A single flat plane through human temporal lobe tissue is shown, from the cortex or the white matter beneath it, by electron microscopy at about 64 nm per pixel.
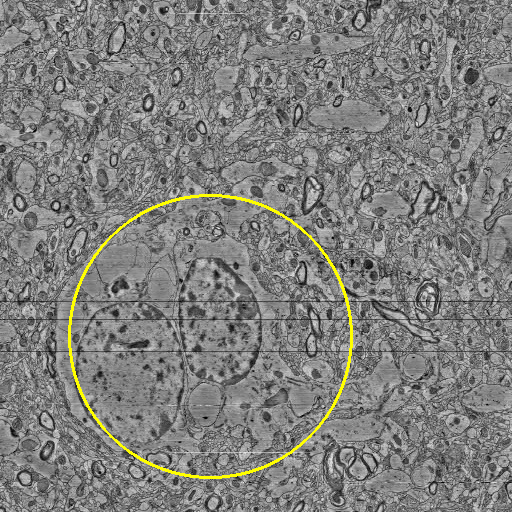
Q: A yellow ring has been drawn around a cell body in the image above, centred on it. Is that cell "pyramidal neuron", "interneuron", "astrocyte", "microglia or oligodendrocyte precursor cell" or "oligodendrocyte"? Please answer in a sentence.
The ring surrounds the cell body of an astrocyte.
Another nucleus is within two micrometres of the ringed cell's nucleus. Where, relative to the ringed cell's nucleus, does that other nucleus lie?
The other nucleus can be seen to the left of it.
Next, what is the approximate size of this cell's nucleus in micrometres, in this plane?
The nucleus comes to approximately 9 by 6 micrometres and is clearly longer than it is wide in this plane.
